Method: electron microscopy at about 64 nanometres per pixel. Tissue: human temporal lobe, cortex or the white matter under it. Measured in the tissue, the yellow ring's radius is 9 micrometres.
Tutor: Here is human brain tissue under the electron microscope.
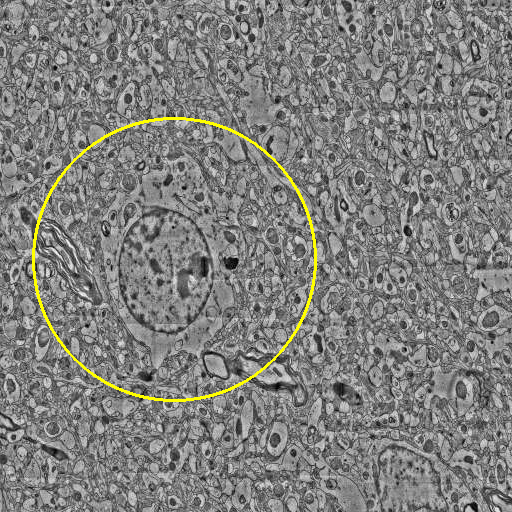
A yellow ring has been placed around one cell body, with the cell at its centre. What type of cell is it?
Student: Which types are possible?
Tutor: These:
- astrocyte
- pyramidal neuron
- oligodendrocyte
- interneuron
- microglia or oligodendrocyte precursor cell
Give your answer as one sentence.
What the ring picks out here is an astrocyte.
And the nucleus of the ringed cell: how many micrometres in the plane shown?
In this plane, the nucleus of the cell at the centre of the ring measures about 8 by 6 micrometres.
